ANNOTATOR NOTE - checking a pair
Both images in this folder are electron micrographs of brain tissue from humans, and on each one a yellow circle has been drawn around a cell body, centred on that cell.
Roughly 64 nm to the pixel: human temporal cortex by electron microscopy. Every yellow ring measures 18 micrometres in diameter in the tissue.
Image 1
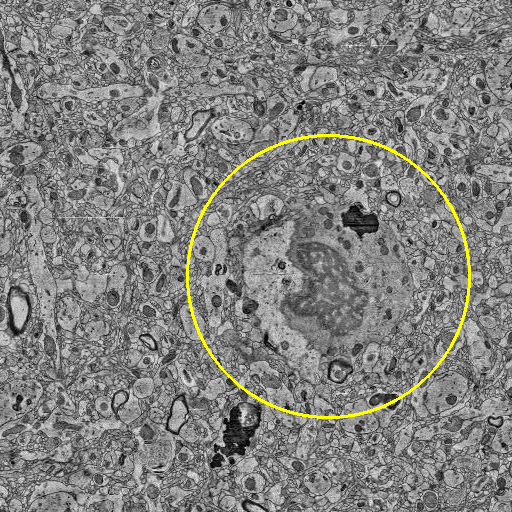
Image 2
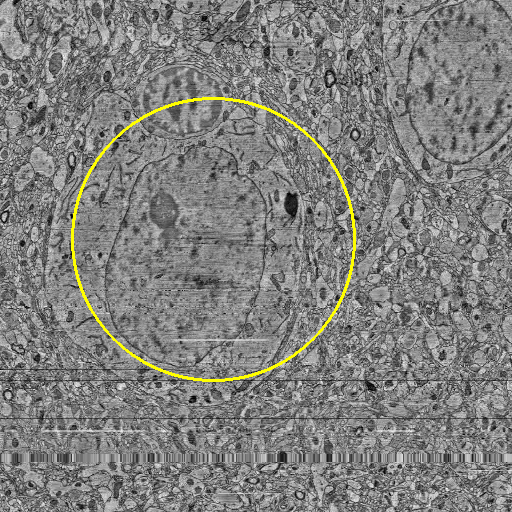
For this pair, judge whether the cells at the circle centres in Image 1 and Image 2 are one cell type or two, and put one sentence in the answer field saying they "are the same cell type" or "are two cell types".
For this pair, the cells at the circle centres in Images 1 and 2 are two cell types.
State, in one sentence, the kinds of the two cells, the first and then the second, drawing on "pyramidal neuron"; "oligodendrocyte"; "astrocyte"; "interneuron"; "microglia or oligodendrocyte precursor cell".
The ring in the second picture is centred on a pyramidal neuron, the ring in the first on an oligodendrocyte.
